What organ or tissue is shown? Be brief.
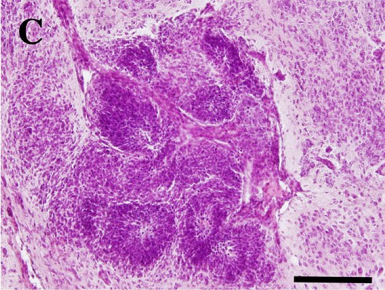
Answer: Neuronal tissue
